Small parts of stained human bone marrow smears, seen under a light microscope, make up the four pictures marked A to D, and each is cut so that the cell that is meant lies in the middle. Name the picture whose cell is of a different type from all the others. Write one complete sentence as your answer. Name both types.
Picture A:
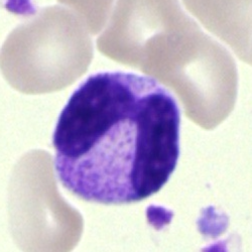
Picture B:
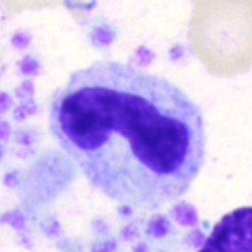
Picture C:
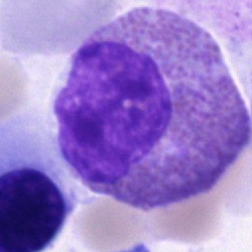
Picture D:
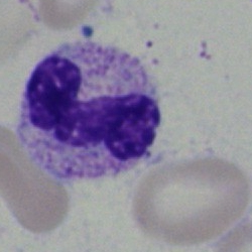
All pictures except C show band neutrophils; picture C shows an eosinophil.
